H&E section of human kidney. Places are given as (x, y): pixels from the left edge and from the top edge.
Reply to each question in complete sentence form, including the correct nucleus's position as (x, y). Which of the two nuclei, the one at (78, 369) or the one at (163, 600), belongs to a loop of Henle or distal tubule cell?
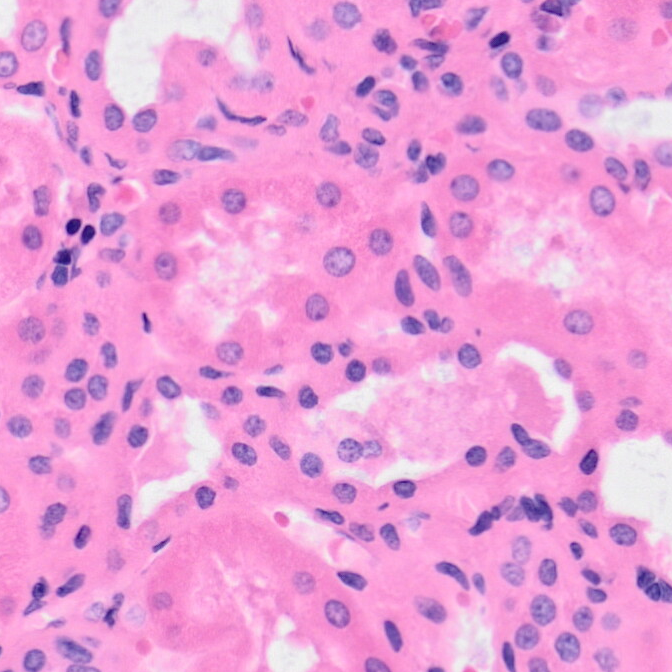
As for which of the two, the nucleus at (78, 369) belongs to a loop of Henle or distal tubule cell.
